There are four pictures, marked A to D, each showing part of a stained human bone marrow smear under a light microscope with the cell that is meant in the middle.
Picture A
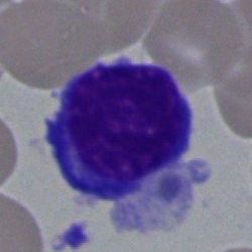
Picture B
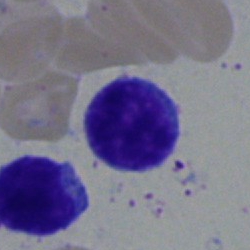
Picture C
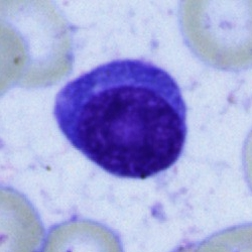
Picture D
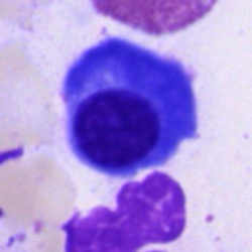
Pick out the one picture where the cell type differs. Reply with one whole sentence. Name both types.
Unlike the rest, which show plasma cells, picture B shows a lymphocyte.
